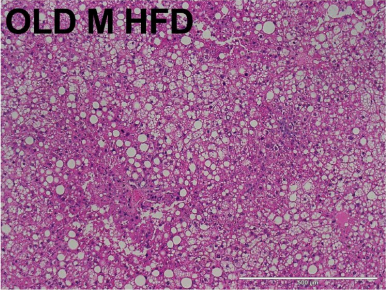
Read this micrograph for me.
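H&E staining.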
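This is liver tissue with sheets of hepatocytes, their cytoplasm pink and their nuclei purple. Many round, clear vacuoles of varying size lie within and between the cells, some large, giving the section a bubbly look. A few small vessels with pale lumens are scattered through the tissue.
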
